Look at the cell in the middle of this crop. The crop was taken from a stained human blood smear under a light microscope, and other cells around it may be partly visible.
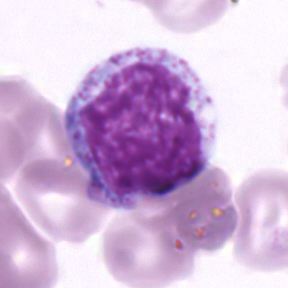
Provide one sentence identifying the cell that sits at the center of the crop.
In the middle of this smear crop, the cell is a myelocyte.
